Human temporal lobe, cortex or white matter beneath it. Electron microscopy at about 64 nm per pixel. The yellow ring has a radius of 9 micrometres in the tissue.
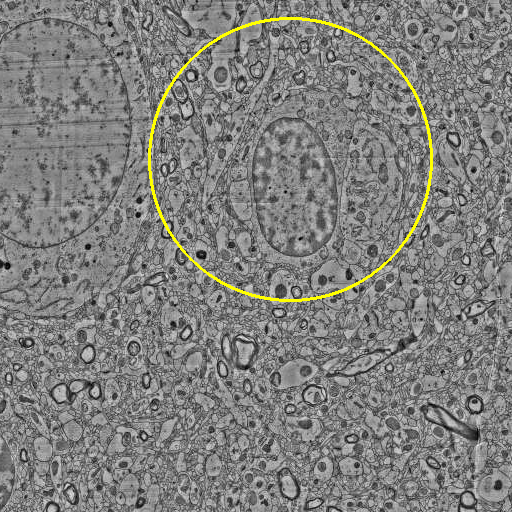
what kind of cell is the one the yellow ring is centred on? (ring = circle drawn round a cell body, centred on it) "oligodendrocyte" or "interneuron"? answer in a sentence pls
The ring is drawn around an oligodendrocyte.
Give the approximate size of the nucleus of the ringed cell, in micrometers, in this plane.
About 9 by 5 micrometres, the nucleus being clearly longer than it is wide in this plane.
